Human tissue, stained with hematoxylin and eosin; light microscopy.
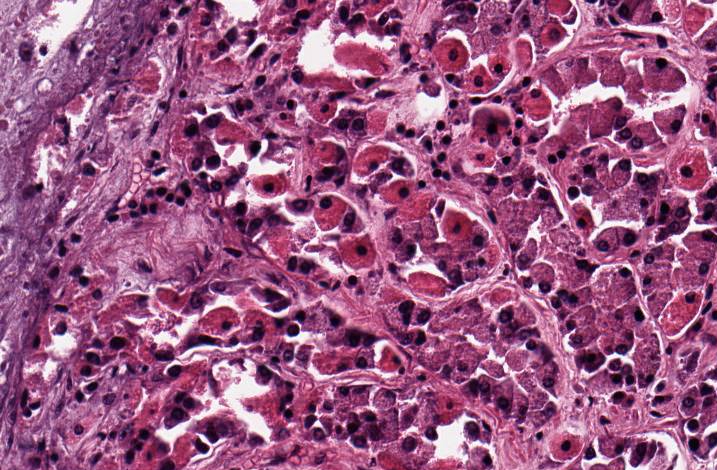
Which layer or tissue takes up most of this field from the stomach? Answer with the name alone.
fundic glands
